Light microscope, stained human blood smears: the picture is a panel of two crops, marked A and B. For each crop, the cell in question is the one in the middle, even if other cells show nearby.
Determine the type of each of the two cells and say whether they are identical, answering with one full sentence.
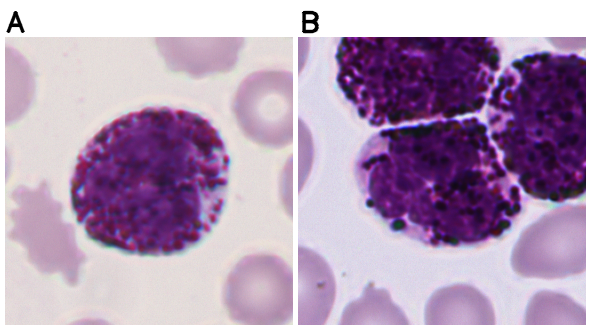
Yes, both crops depict basophils at the centre.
